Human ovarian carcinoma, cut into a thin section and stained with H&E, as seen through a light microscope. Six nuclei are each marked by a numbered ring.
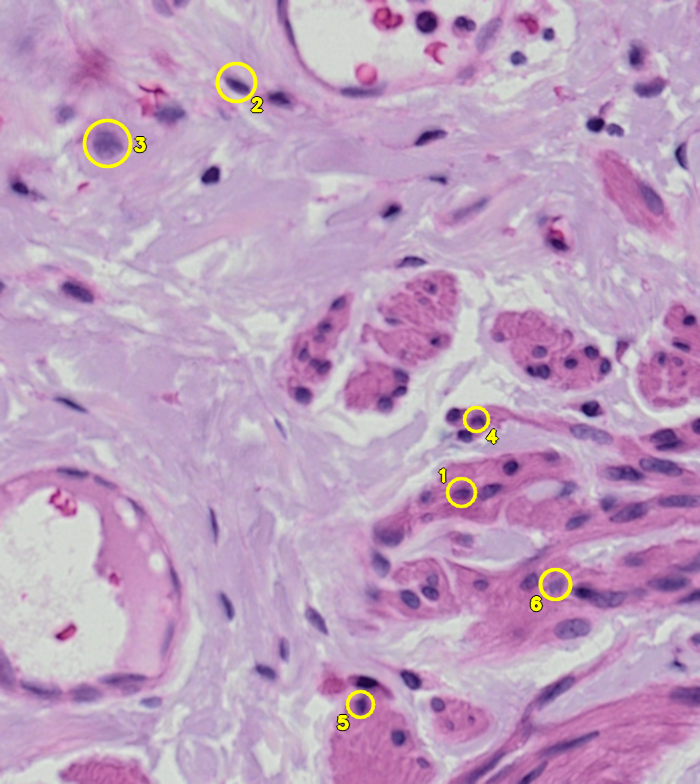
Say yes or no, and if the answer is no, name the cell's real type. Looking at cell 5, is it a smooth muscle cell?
Yes.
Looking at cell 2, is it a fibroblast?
Yes.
